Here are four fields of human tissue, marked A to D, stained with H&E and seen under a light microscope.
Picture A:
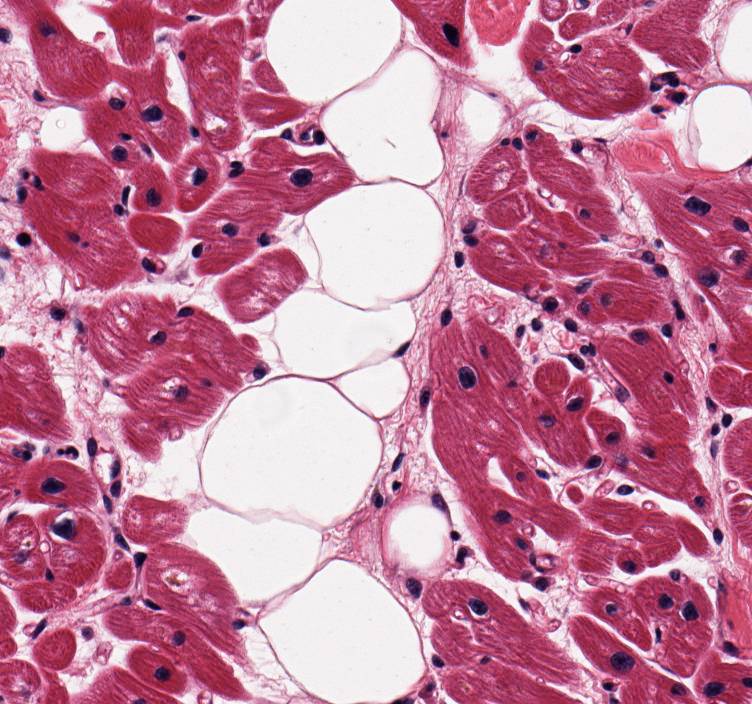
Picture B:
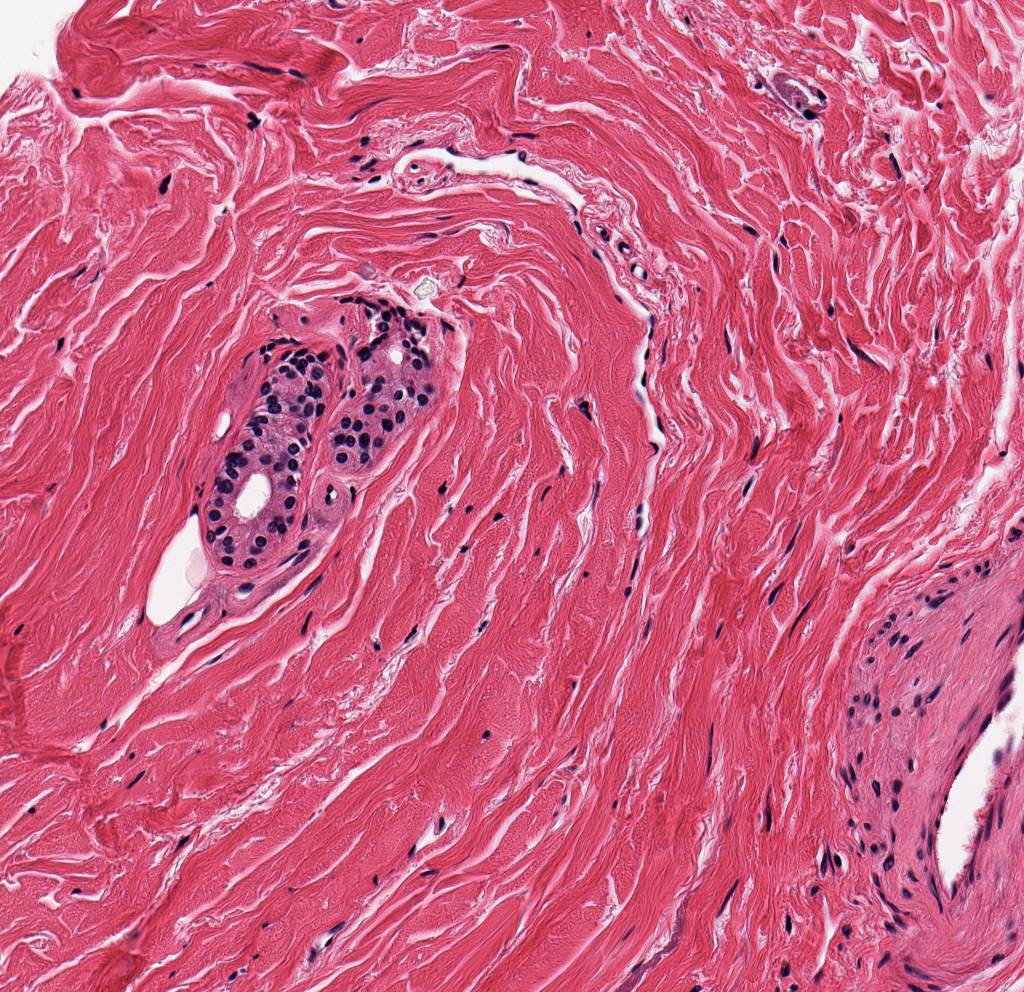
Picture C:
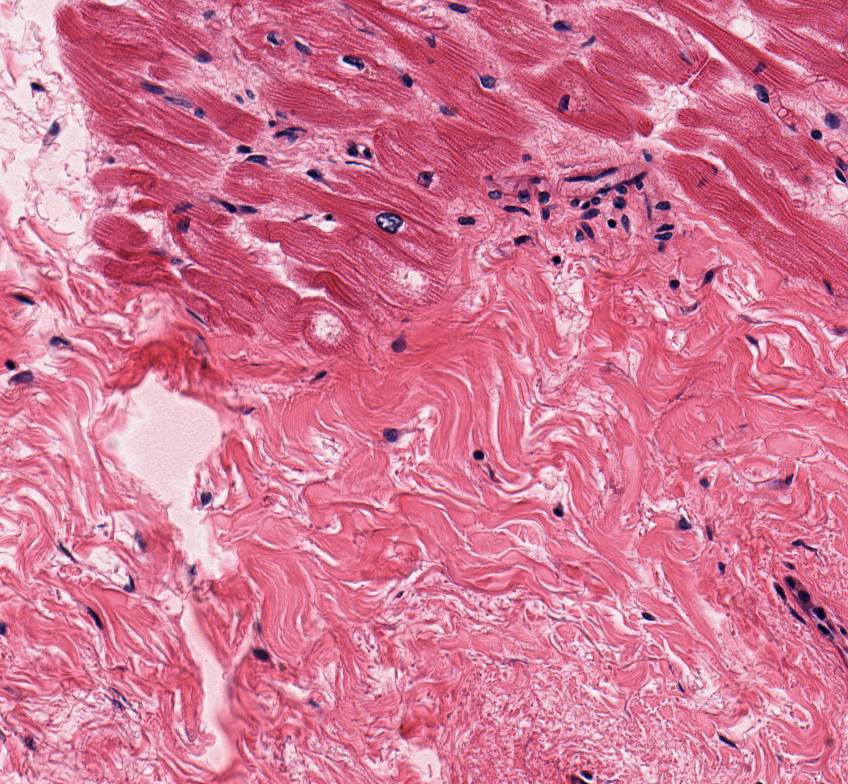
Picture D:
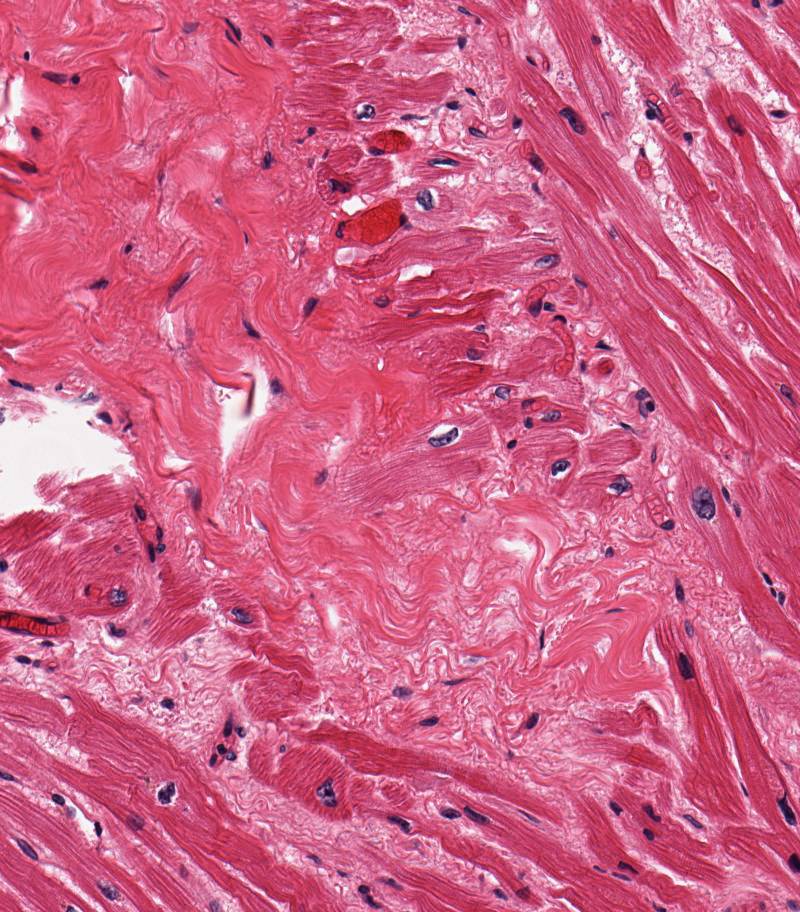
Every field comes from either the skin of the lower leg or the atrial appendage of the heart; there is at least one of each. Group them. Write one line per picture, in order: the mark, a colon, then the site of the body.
A: atrial appendage of the heart
B: skin of the lower leg
C: atrial appendage of the heart
D: atrial appendage of the heart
